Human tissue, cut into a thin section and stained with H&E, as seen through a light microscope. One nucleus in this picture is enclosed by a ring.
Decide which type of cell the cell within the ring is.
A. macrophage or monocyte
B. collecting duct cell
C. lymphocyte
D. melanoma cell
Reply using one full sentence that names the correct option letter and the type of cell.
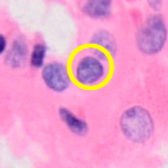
As the cell within the ring is a collecting duct cell, the correct choice is option B.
